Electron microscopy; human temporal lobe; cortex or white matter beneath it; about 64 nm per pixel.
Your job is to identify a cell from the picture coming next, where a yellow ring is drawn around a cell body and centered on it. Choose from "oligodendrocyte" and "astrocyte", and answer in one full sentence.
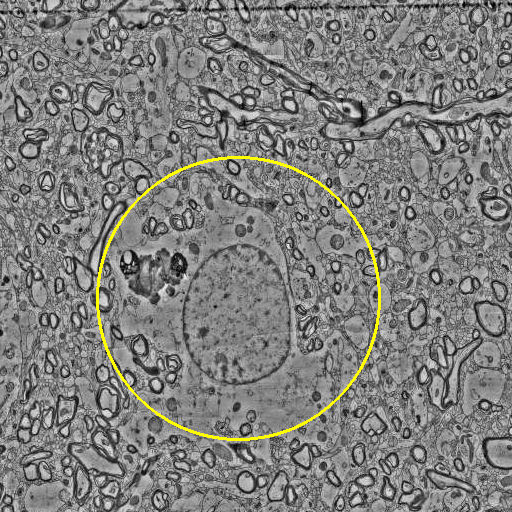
Centered in the yellow ring of the picture is the body of an astrocyte.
